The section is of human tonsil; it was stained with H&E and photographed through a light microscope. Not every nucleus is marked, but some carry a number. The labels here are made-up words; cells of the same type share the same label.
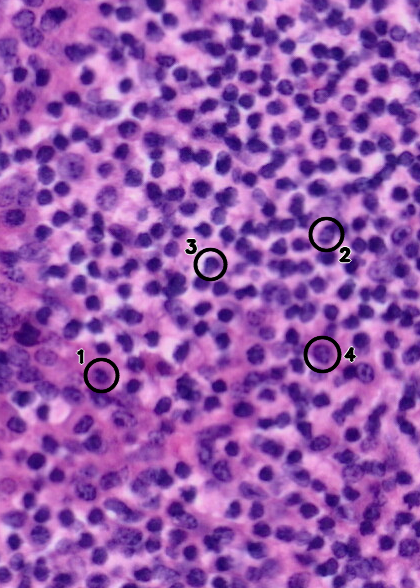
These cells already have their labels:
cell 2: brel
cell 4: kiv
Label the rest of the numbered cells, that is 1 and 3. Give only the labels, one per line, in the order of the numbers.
kiv
brel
